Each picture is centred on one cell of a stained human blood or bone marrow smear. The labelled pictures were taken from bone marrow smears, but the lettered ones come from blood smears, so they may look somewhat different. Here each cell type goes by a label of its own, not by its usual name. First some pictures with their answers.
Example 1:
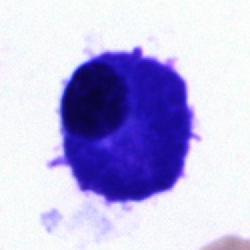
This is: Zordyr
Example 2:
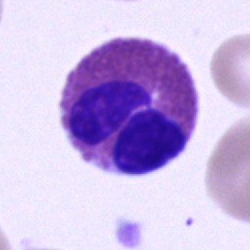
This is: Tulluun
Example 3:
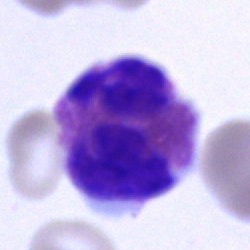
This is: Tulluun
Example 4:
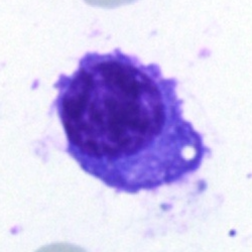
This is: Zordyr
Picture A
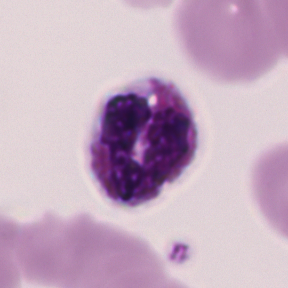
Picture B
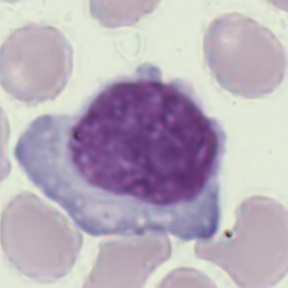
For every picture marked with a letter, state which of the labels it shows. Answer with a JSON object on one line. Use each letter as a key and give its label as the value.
{"A": "Tulluun", "B": "Zordyr"}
